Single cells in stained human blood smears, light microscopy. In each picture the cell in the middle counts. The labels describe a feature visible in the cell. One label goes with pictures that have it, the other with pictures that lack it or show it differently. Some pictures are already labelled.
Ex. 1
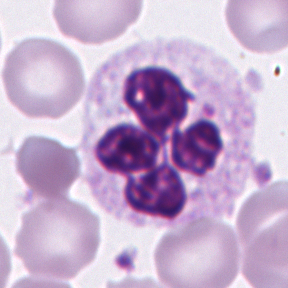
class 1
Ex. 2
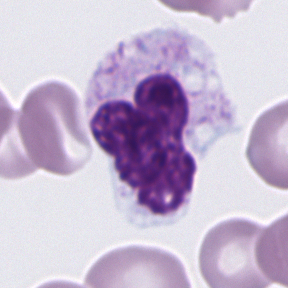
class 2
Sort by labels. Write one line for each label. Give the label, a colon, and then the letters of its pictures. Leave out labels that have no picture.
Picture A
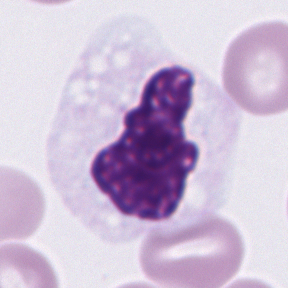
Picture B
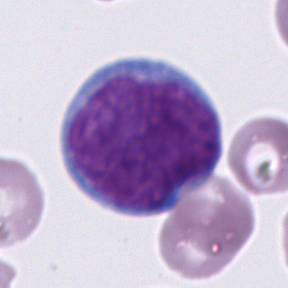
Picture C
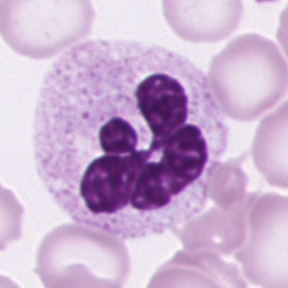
class 1: B, C
class 2: A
